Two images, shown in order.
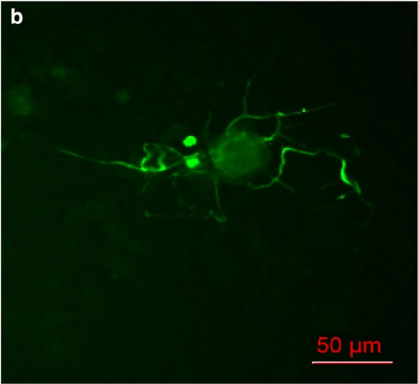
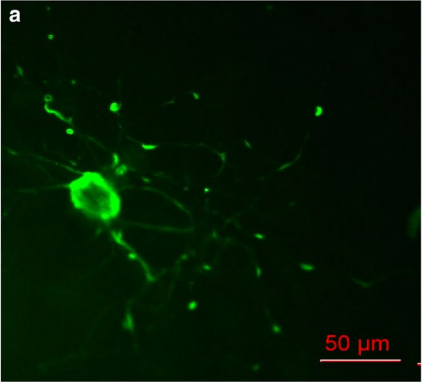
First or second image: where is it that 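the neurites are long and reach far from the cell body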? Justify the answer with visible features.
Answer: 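Second image: thin processes extend far across the field from the cell body.
The second image.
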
